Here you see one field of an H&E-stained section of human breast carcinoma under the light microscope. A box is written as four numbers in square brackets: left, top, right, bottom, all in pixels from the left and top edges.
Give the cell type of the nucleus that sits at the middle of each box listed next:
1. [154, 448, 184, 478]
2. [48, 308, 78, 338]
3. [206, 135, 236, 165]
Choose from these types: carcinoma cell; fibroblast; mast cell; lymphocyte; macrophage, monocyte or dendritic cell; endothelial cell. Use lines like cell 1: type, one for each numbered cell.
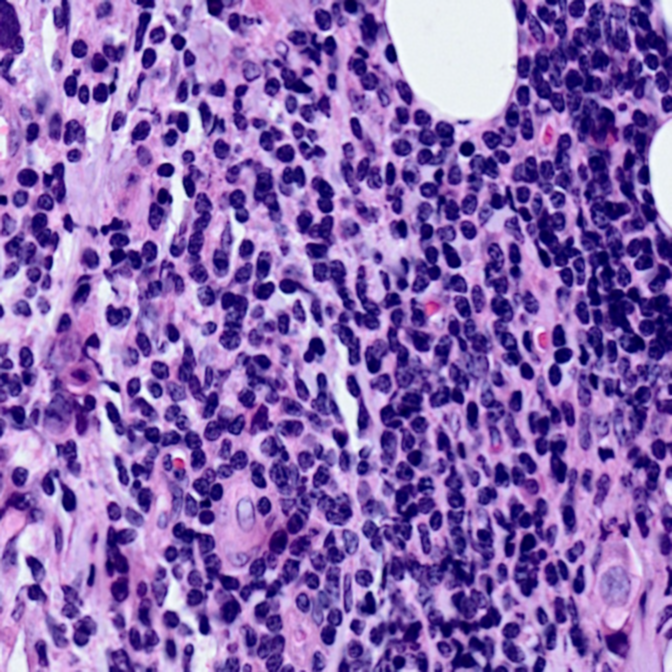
cell 1: endothelial cell
cell 2: lymphocyte
cell 3: lymphocyte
